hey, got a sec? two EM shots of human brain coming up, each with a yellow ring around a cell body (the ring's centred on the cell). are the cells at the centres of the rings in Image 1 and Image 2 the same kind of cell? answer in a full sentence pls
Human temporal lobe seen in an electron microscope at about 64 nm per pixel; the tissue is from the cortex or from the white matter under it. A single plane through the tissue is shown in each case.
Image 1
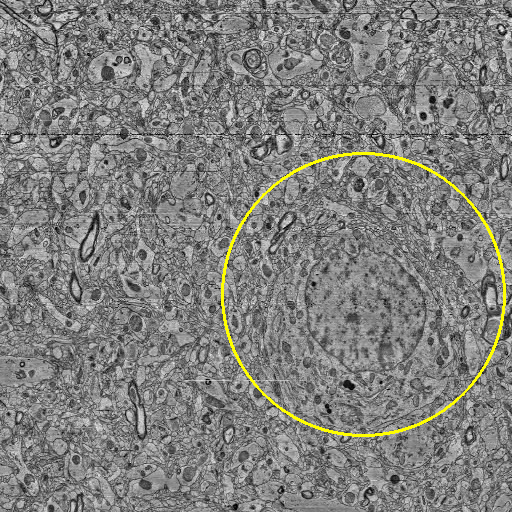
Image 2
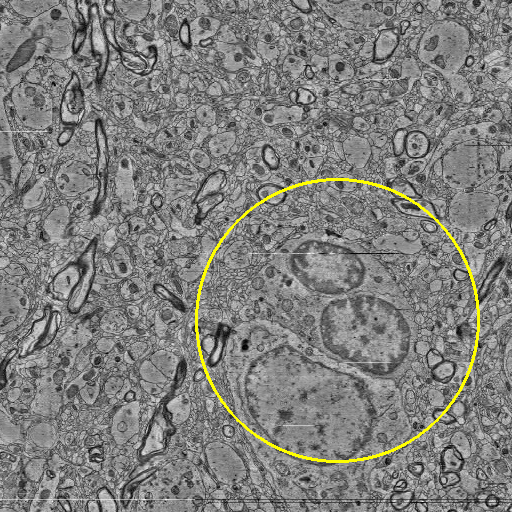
No, they are two kinds of cell.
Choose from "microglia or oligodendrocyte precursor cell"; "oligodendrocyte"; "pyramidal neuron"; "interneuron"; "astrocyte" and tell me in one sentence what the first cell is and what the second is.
What the first ring is centred on is an interneuron; what the second ring is centred on is an oligodendrocyte.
